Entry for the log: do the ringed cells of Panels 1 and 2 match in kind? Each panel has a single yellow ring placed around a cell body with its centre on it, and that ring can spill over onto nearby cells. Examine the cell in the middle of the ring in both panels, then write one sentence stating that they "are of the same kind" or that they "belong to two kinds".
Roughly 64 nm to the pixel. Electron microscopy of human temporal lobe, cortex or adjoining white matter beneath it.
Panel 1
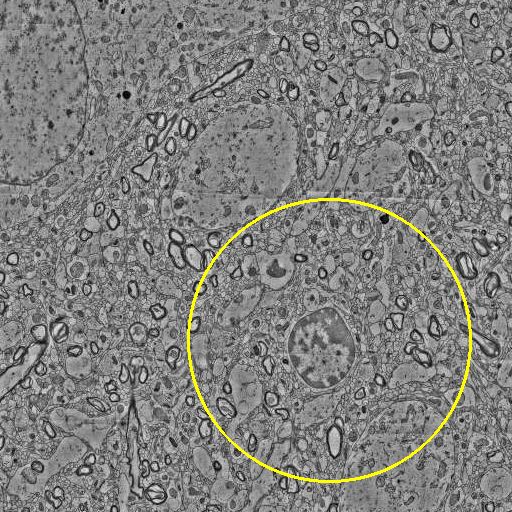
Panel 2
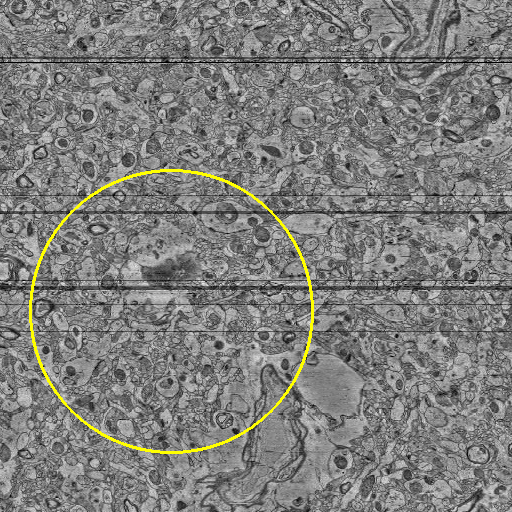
The centre cell of Panel 1's ring and that of Panel 2's ring belong to two kinds.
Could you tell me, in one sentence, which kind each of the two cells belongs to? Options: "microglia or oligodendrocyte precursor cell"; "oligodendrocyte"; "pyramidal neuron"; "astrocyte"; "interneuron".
At the centre of the first ring sits a microglial cell or oligodendrocyte precursor cell, and at the centre of the second sits an oligodendrocyte.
